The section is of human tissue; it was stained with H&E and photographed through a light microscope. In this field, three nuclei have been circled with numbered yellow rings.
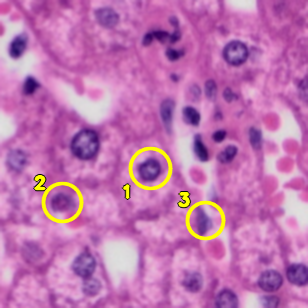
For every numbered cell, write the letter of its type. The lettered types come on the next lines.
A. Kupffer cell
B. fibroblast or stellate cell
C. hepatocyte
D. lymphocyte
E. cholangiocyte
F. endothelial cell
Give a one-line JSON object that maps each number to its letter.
{"1": "C", "2": "F", "3": "F"}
